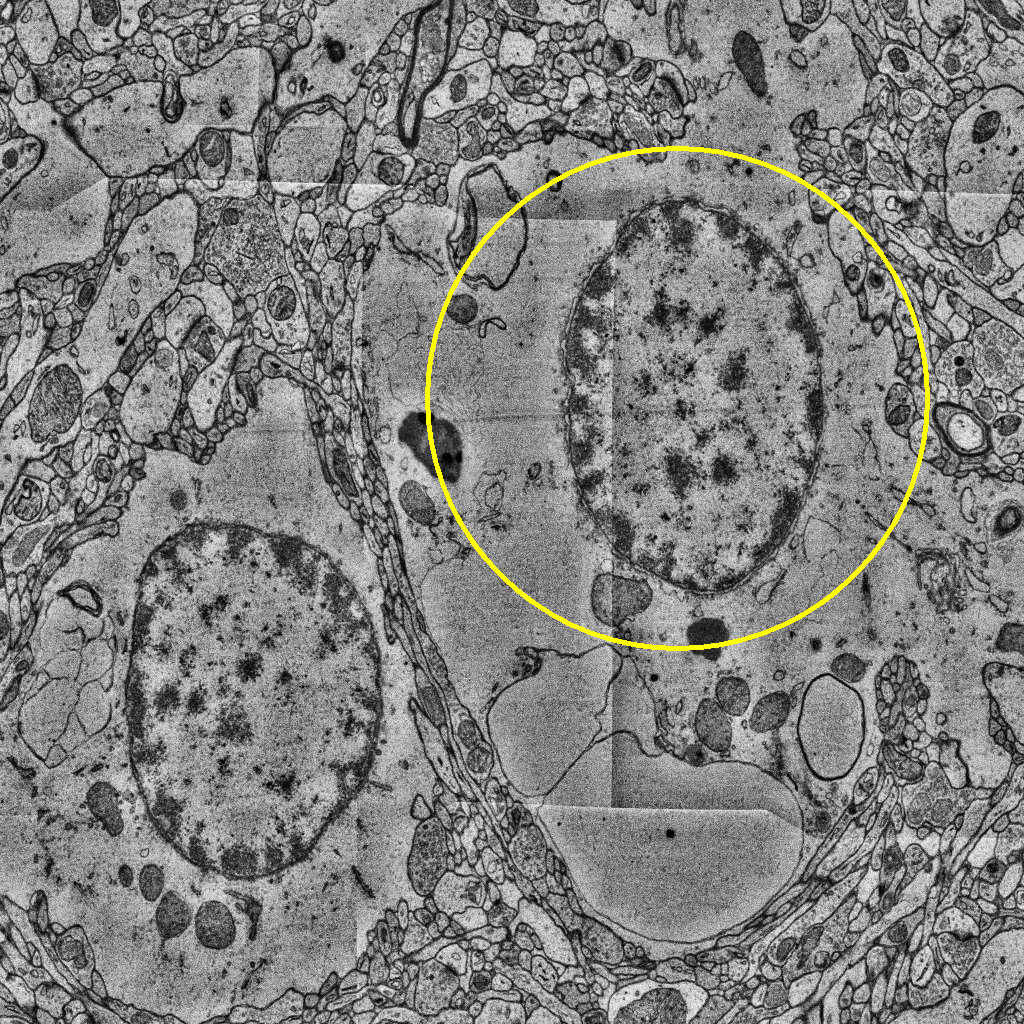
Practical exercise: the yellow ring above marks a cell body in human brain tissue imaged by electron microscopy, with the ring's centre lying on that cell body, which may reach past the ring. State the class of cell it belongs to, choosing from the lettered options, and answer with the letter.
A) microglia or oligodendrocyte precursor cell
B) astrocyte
B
